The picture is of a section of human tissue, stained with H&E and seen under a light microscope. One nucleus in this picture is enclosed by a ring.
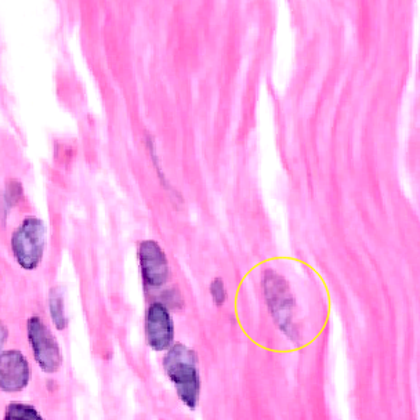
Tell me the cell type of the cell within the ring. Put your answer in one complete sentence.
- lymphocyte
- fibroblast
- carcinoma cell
As classified here, the cell within the ring is a fibroblast.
